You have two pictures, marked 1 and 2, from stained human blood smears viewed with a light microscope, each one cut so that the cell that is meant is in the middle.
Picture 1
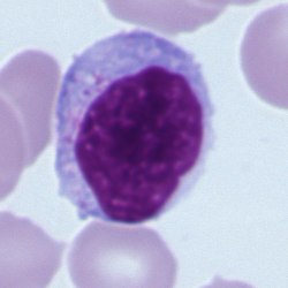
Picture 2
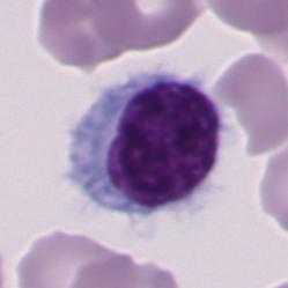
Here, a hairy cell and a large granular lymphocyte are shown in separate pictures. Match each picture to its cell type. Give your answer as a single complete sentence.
Picture 1 shows a large granular lymphocyte and picture 2 shows a hairy cell.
